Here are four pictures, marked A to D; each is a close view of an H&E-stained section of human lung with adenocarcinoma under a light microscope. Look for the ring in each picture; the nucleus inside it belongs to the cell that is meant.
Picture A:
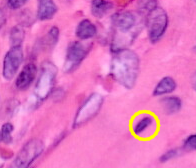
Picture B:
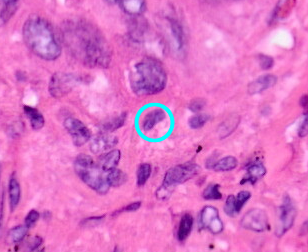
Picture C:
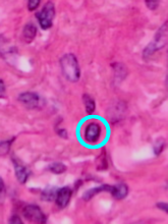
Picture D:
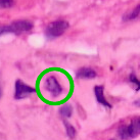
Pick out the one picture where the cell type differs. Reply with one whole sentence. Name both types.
All pictures except B show mast cells; picture B shows a lymphocyte.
